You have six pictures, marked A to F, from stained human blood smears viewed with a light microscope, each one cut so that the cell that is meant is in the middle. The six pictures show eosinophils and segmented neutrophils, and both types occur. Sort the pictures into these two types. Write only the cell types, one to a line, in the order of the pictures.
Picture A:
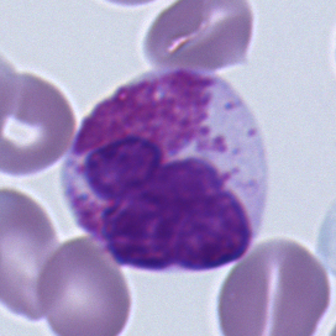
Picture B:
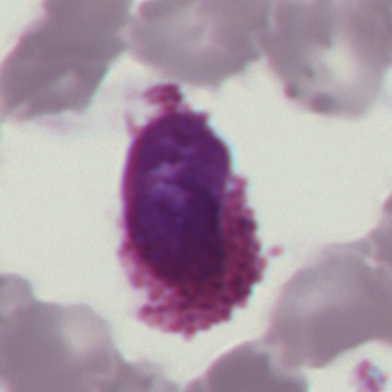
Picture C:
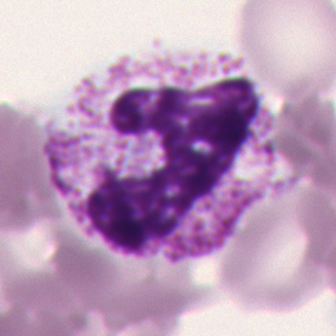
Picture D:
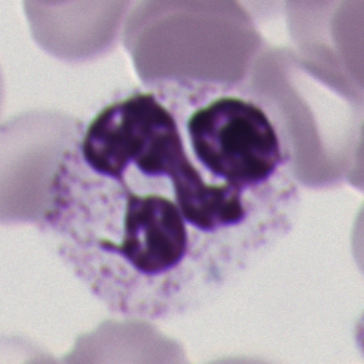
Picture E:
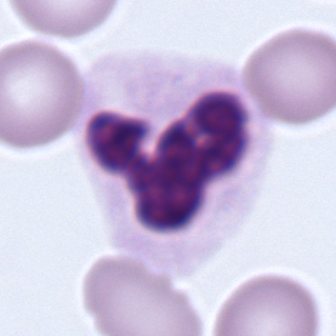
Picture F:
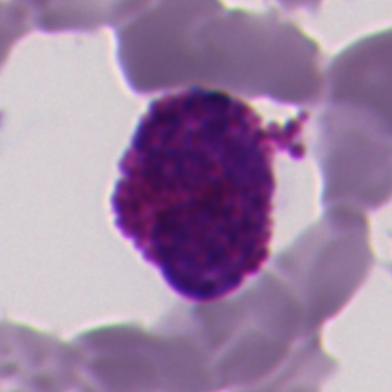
eosinophil
eosinophil
segmented neutrophil
segmented neutrophil
segmented neutrophil
eosinophil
